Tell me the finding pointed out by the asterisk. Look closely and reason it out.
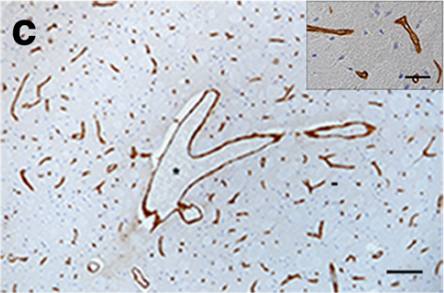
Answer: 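Larger vessels are dilated. A large branching vessel near the asterisk has a wide, open lumen outlined by a thin brown wall. This vessel is far wider than the surrounding small brown vessel profiles.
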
